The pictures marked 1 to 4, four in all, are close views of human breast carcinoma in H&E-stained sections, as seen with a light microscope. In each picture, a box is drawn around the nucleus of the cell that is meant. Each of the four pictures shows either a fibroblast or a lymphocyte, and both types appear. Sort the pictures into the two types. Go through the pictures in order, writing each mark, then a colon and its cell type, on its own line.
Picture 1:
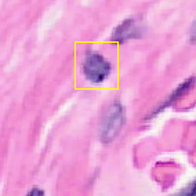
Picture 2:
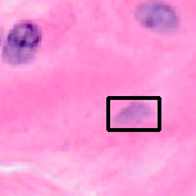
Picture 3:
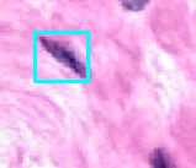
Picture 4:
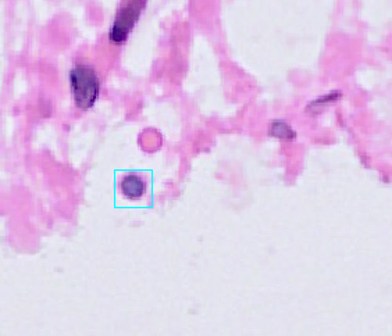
1: lymphocyte
2: fibroblast
3: fibroblast
4: lymphocyte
